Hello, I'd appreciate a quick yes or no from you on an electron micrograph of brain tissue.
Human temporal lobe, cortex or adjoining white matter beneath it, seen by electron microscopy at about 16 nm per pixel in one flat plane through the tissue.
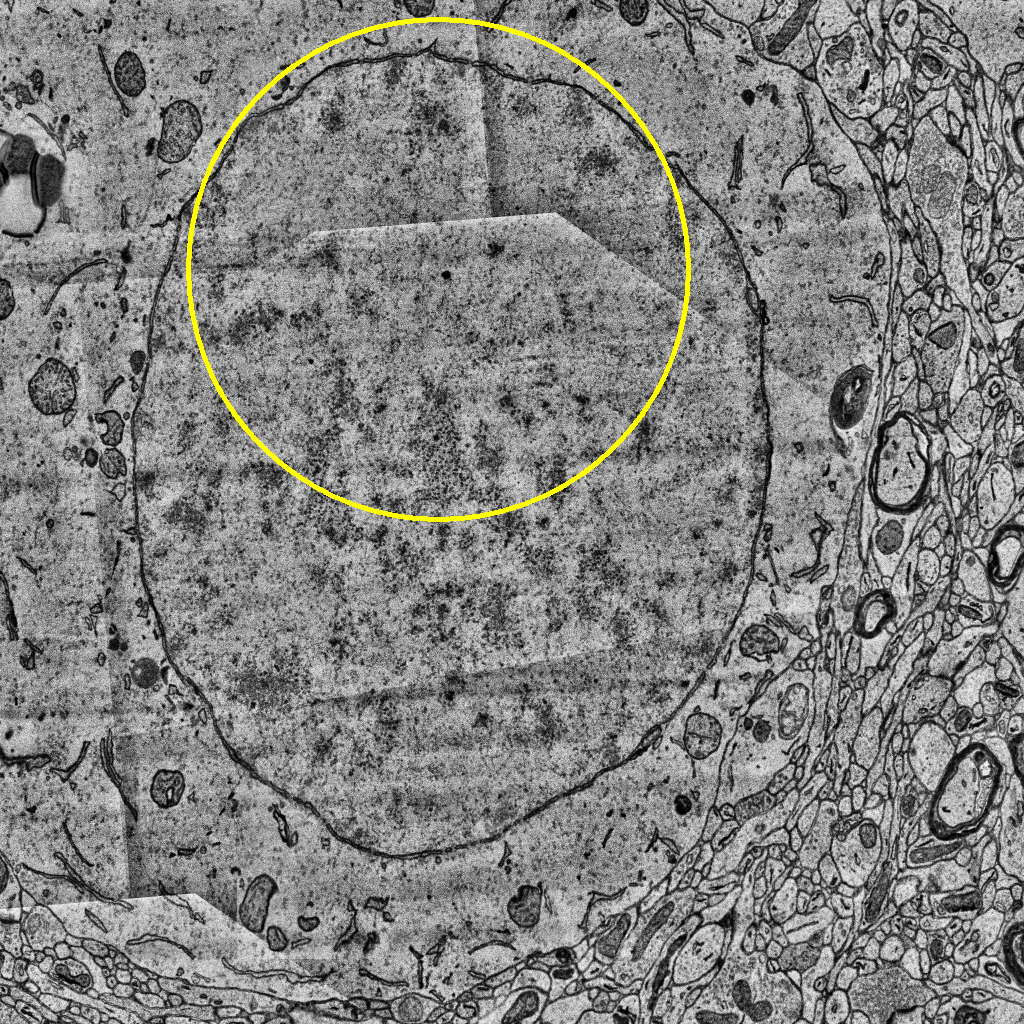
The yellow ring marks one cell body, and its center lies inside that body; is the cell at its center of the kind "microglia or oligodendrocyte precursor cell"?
no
